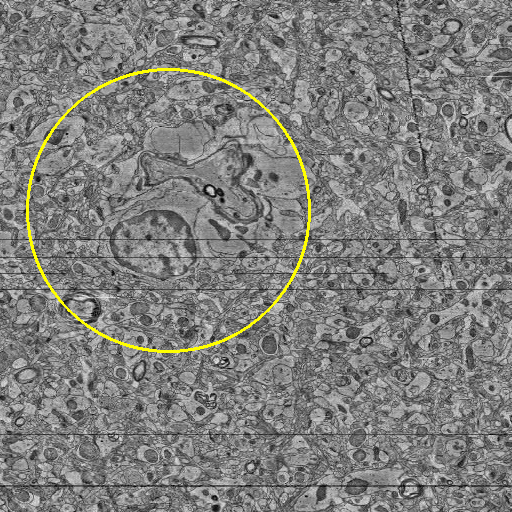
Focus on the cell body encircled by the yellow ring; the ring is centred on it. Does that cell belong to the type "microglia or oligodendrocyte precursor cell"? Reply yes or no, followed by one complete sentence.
Yes, that type fits the cell lying at the centre of the ring in the picture.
